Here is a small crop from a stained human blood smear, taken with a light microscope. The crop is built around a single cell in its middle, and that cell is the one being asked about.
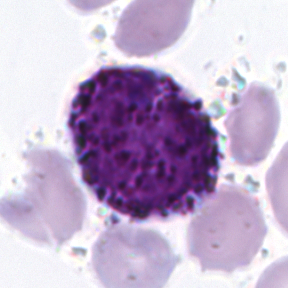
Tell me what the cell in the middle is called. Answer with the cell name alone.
basophil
